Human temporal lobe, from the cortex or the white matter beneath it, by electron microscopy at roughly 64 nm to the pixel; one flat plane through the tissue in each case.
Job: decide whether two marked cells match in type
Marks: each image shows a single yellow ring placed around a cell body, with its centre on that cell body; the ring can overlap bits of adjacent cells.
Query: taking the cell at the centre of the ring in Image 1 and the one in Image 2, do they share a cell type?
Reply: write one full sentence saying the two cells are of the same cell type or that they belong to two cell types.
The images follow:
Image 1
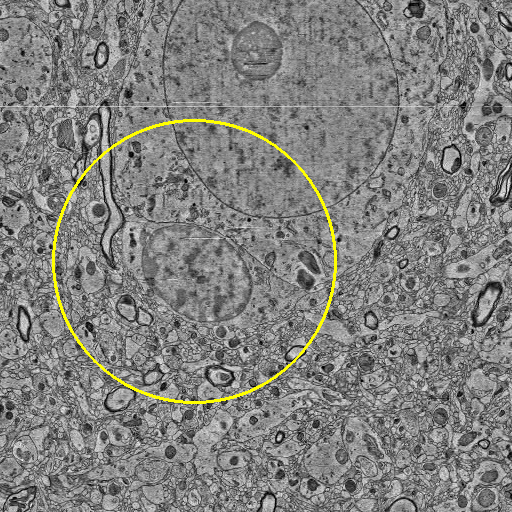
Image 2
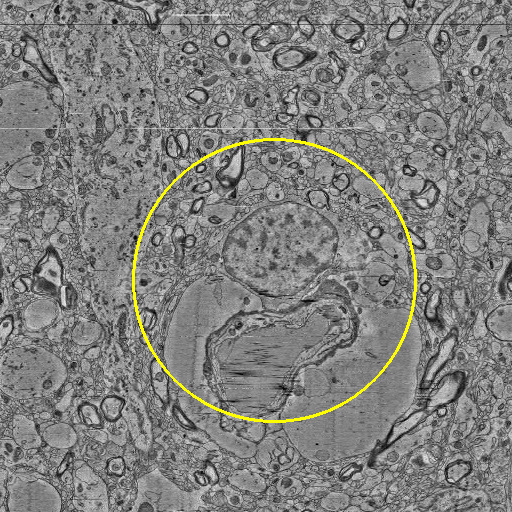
The cells at the ring centres in Image 1 and Image 2 are of the same cell type.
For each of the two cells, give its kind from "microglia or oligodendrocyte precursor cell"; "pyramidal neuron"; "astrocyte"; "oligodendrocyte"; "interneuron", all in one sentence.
Each of the two cells is an oligodendrocyte.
